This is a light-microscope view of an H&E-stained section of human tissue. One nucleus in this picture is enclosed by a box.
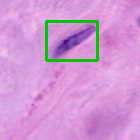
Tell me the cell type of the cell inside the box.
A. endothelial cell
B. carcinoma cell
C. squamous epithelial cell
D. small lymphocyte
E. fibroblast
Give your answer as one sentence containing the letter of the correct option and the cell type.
It is option E that is correct, the cell inside the box being a fibroblast.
